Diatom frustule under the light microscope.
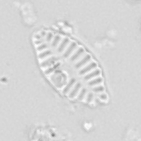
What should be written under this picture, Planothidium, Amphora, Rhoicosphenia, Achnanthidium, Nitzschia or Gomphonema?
Planothidium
